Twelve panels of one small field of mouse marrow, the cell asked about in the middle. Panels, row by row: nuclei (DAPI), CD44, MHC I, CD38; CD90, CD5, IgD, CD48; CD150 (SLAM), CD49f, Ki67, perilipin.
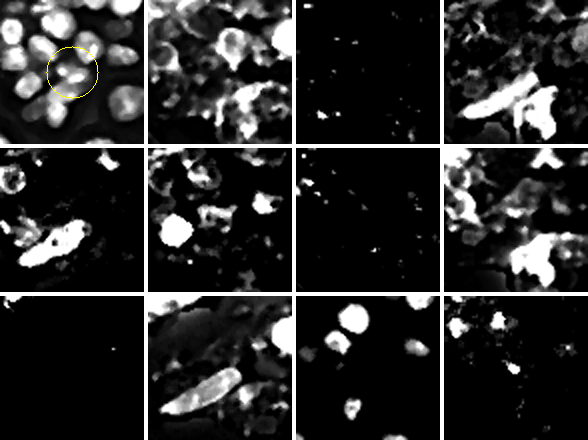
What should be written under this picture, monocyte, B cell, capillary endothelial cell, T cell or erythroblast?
capillary endothelial cell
